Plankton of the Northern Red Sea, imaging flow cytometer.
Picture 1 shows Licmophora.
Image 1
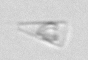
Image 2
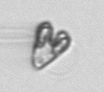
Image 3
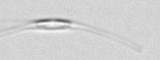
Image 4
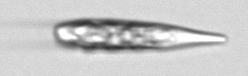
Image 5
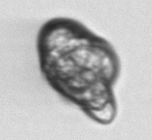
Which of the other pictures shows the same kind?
Picture 4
